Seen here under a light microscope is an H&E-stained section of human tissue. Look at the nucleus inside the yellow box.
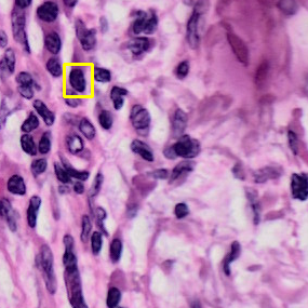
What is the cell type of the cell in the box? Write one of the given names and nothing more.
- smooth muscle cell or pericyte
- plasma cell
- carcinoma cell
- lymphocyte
plasma cell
